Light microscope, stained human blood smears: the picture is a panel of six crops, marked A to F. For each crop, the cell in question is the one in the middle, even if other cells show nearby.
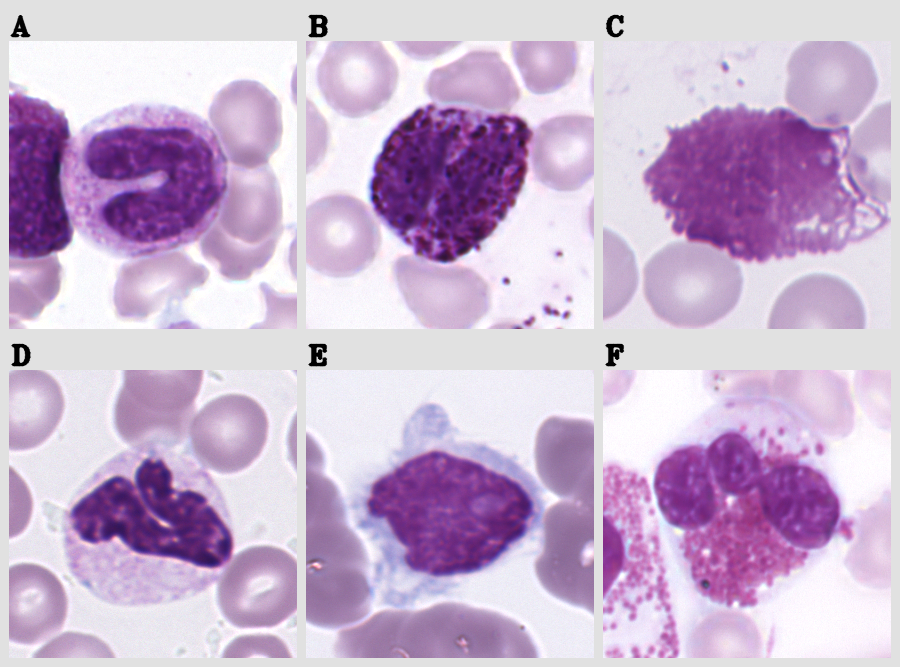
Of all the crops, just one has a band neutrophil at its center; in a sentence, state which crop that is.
The sole crop showing a band neutrophil is crop A.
